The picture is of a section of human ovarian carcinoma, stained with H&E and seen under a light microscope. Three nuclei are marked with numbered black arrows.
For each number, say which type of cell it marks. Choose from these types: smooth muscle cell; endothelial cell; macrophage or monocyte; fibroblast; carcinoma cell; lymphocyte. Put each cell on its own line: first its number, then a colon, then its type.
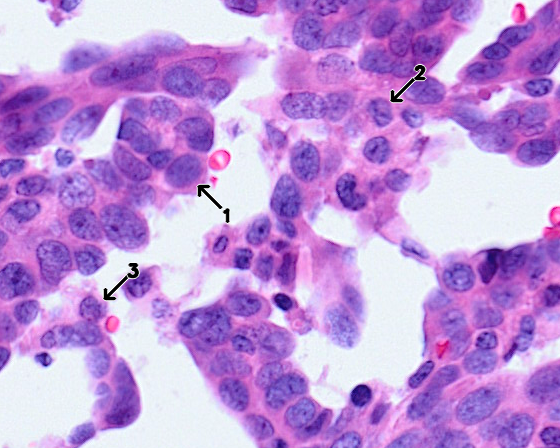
1: carcinoma cell
2: macrophage or monocyte
3: macrophage or monocyte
